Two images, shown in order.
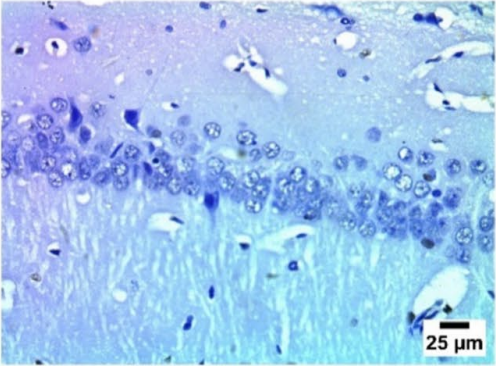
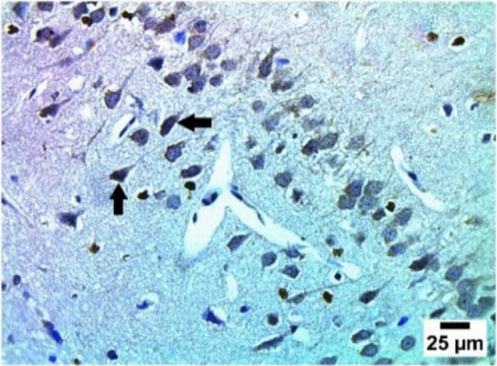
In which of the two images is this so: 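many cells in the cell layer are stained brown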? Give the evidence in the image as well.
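Second image: numerous dark brown cell bodies and nuclei are scattered through the cell band. First image: the cell band is blue with pale nuclei and almost no brown. On this evidence: the second image.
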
